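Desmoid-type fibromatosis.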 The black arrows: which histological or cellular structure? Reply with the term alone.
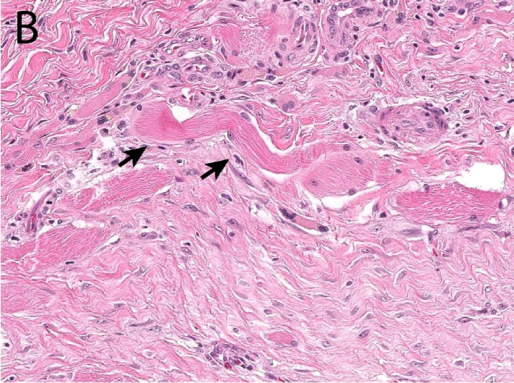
Skeletal muscle fibers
